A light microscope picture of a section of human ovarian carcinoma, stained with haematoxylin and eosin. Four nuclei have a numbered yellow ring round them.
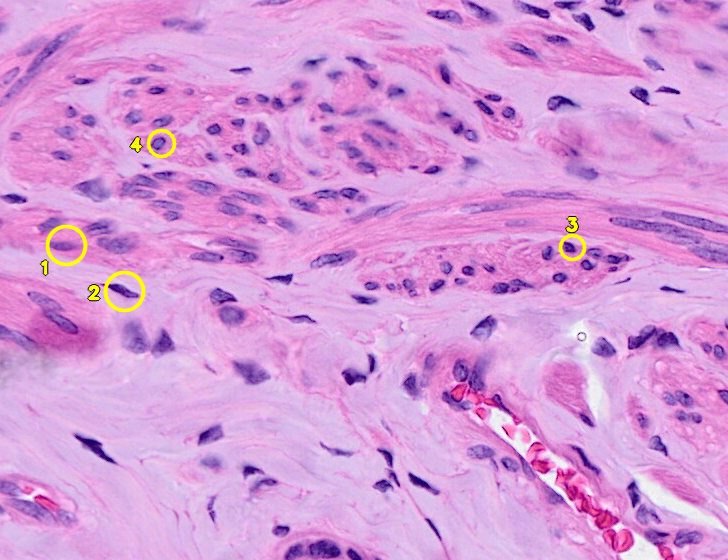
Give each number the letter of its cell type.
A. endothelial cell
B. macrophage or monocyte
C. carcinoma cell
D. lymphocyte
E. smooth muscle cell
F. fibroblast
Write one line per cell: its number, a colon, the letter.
1: E
2: F
3: E
4: E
